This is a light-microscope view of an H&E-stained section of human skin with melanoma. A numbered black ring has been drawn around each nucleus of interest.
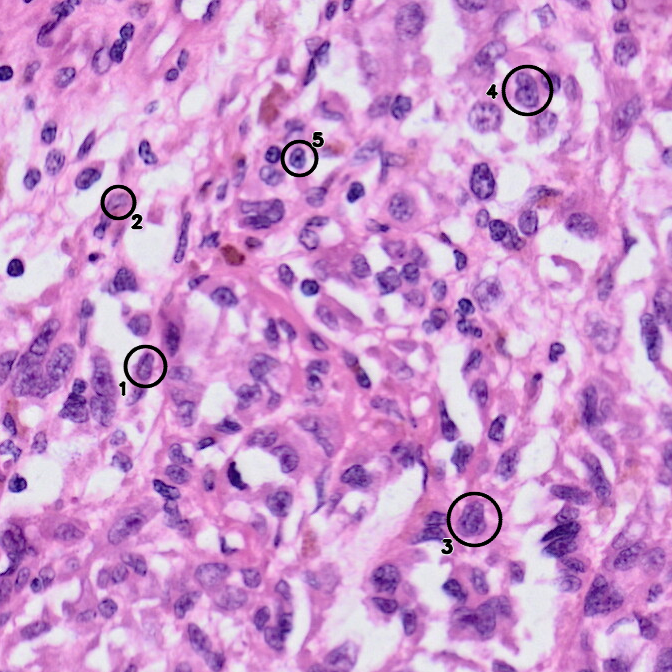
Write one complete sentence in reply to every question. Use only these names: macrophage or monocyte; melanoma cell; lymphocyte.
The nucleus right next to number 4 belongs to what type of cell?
It is a melanoma cell whose nucleus is nearest to number 4.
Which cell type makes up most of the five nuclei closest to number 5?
Macrophages or monocytes make up most of the five nuclei closest to number 5.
